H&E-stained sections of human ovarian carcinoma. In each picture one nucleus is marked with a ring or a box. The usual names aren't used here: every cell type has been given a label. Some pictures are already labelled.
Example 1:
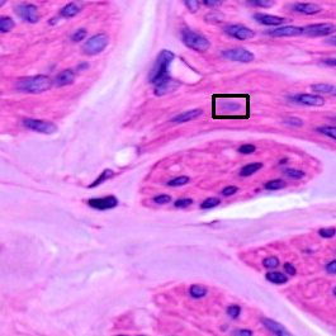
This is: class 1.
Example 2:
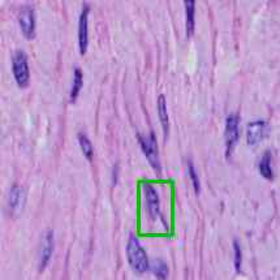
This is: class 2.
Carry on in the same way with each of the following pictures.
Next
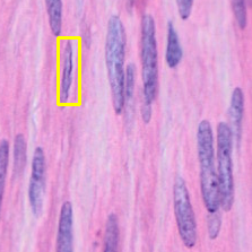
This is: class 1.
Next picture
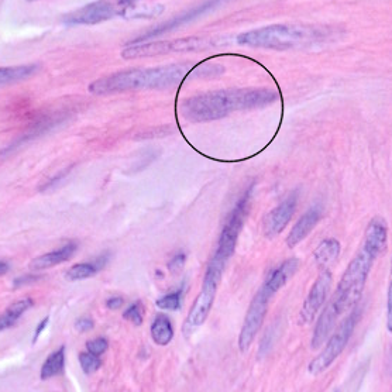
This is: class 1.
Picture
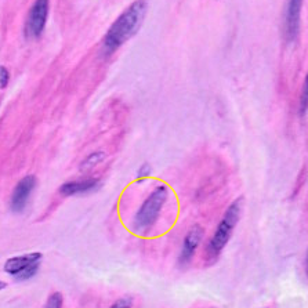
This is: class 1.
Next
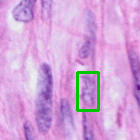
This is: class 2.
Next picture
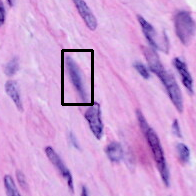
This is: class 1.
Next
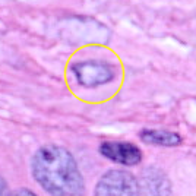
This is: class 2.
